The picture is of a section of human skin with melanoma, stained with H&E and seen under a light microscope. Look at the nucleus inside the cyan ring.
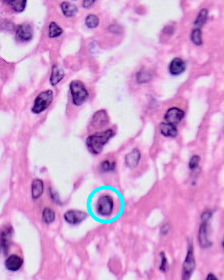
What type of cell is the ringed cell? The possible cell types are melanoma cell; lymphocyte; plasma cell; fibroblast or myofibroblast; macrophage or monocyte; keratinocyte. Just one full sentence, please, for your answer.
The identity of the ringed cell is that of a lymphocyte.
